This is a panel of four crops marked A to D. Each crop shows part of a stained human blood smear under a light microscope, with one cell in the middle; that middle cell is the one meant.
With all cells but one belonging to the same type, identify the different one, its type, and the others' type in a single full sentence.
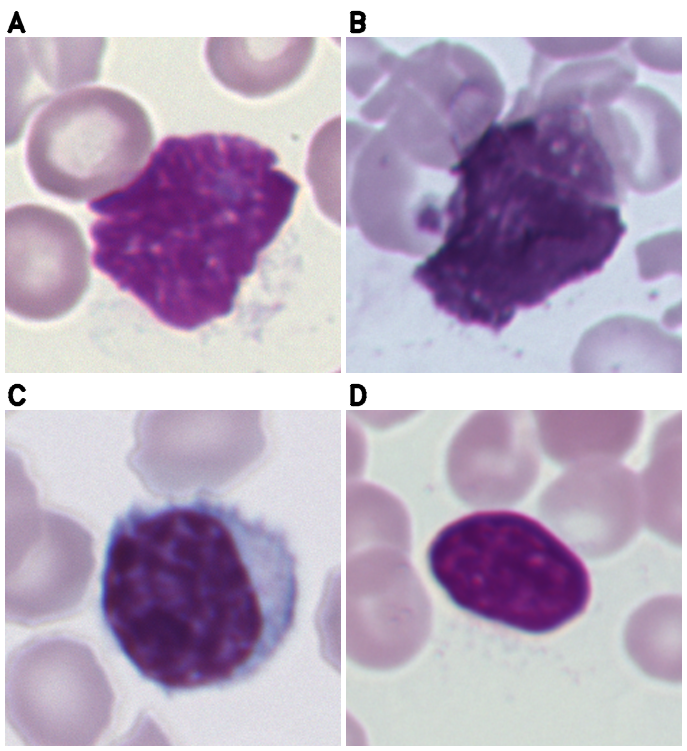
Crop C is the only crop with a typical lymphocyte, the others all showing smudge cells.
